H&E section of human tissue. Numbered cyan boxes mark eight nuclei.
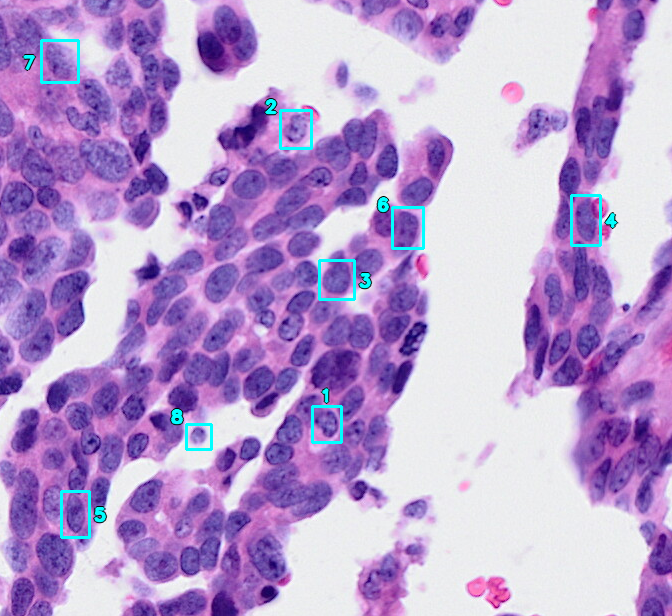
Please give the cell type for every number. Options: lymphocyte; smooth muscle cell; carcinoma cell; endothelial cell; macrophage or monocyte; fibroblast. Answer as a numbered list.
1. macrophage or monocyte
2. macrophage or monocyte
3. carcinoma cell
4. carcinoma cell
5. carcinoma cell
6. carcinoma cell
7. carcinoma cell
8. lymphocyte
